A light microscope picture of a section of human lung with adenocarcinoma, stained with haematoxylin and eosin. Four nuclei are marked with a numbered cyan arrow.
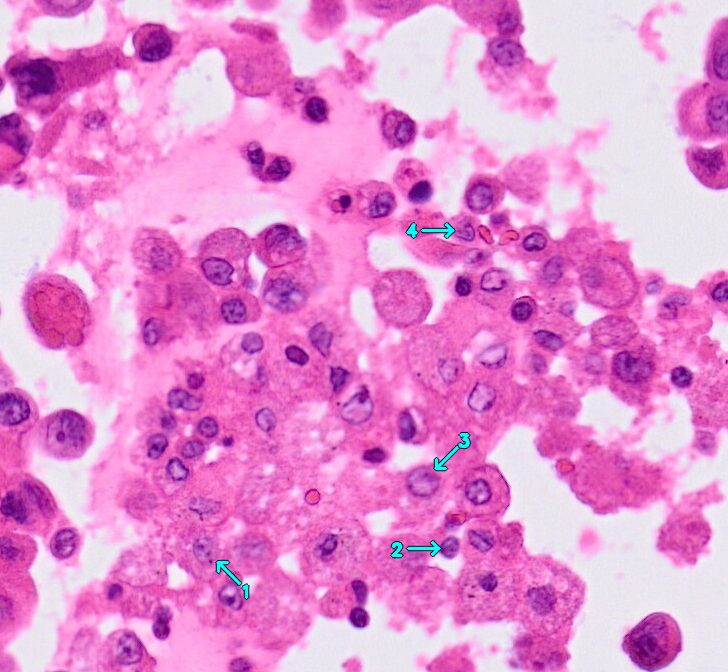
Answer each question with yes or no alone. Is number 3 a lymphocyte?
no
